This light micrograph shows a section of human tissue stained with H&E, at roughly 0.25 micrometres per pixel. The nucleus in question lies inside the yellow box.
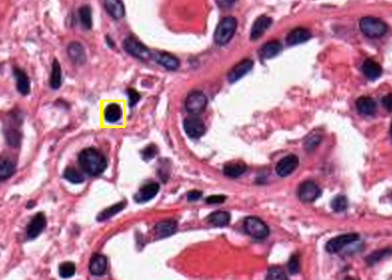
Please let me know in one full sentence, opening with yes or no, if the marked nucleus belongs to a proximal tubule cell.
No, that the marked nucleus belongs to a proximal tubule cell does not hold; it belongs to a supporting cell.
